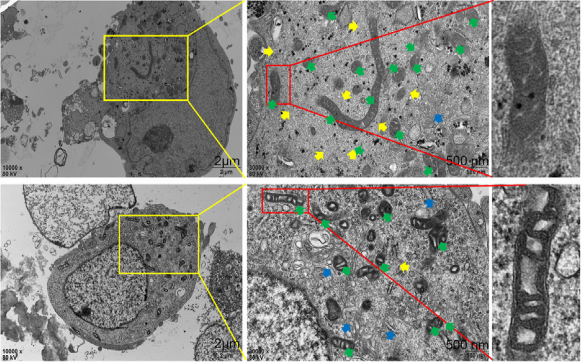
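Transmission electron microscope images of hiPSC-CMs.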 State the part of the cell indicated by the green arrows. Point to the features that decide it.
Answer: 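The green arrows point to oval or elongated membrane-bound organelles in the cytoplasm. In the enlarged view, the organelle has a double outer membrane and inner folded membranes.
Answer: mitochondria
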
